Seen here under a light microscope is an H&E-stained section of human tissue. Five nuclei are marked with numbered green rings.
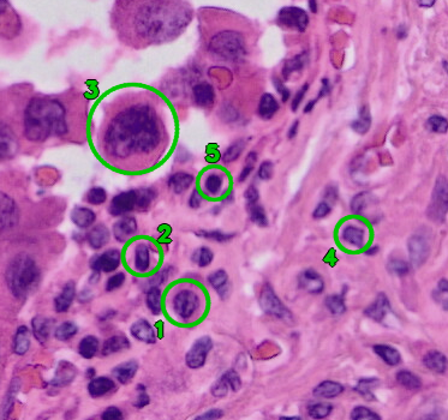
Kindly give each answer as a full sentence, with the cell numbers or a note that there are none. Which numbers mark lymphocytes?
The cells tagged 2, 4 and 5 are lymphocytes in this tissue section.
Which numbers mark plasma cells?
Only nucleus 1 belongs to a plasma cell; the other numbered nuclei do not.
